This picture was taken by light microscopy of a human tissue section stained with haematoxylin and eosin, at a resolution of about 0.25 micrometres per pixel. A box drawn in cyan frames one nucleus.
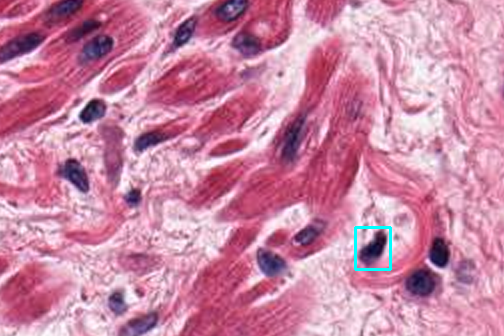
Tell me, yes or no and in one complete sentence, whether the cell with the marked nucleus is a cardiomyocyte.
No, a supporting cell is the one to which the marked nucleus belongs, not a cardiomyocyte.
